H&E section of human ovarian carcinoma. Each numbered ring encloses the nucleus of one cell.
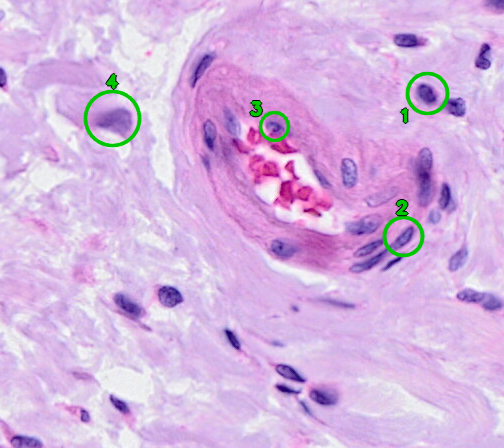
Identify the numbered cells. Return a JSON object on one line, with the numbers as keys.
{"1": "lymphocyte", "2": "smooth muscle cell", "3": "endothelial cell", "4": "fibroblast"}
